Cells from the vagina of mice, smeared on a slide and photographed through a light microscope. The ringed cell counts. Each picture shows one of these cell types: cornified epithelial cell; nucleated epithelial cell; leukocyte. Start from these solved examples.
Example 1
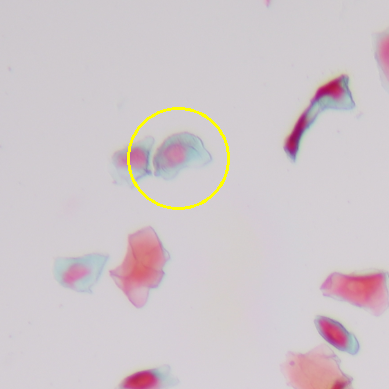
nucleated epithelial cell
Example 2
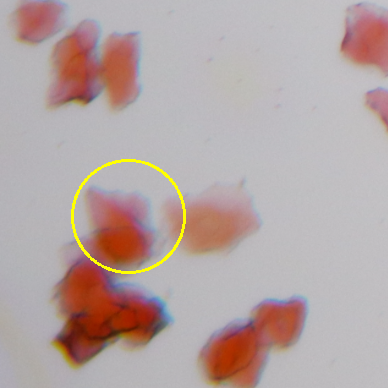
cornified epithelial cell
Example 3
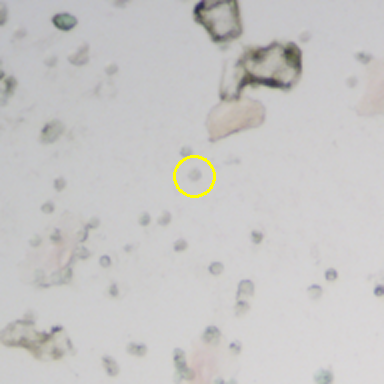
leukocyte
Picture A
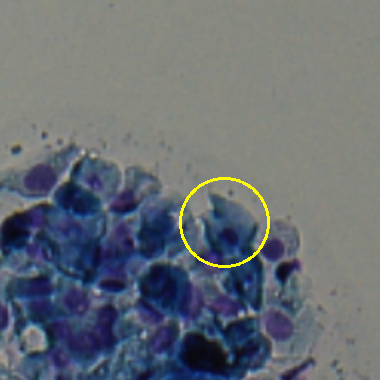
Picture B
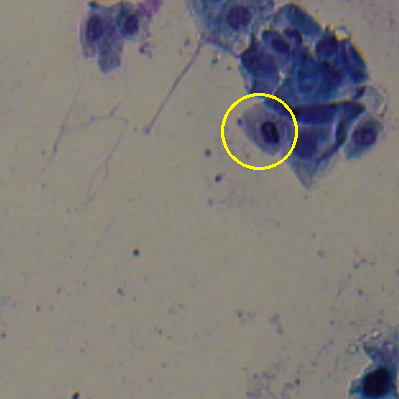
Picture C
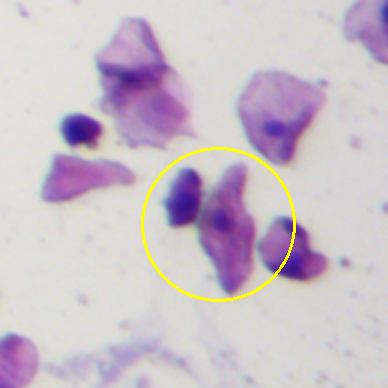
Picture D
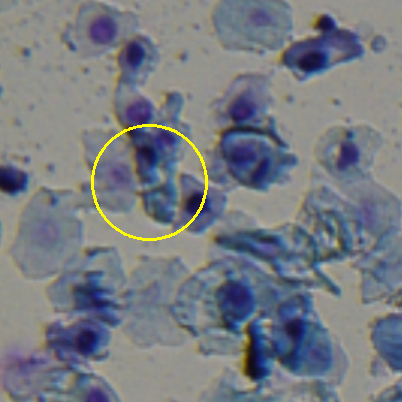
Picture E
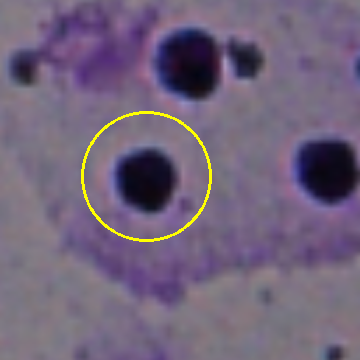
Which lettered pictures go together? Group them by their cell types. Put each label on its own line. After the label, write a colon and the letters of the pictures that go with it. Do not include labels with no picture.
nucleated epithelial cell: A, B, C, D
leukocyte: E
